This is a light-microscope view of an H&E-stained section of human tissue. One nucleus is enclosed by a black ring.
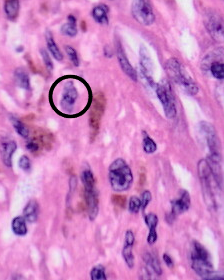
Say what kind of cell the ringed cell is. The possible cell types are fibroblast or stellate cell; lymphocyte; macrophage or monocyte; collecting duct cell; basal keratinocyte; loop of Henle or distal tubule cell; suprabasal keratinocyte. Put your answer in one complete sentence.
The ringed cell is a lymphocyte.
